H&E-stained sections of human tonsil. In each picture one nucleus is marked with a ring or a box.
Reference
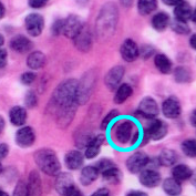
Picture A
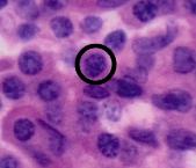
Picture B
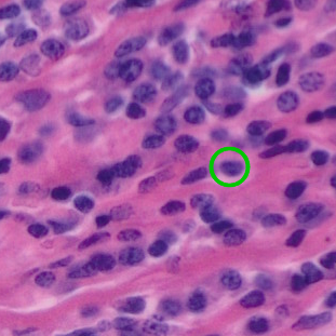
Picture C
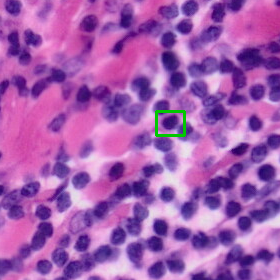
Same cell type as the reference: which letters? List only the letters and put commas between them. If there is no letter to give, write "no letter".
C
